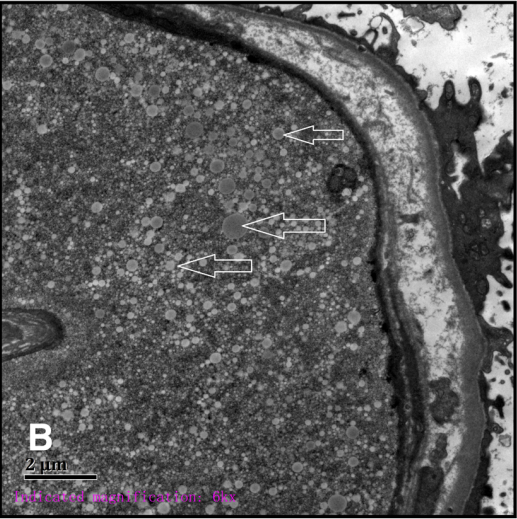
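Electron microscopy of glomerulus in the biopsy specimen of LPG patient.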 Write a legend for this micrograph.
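The thrombus is a finely granular, moderately dense mass packed with innumerable pale, round lipid vacuoles of varying size, some larger ones scattered among many small ones. No red blood cells are present in the lumen.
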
